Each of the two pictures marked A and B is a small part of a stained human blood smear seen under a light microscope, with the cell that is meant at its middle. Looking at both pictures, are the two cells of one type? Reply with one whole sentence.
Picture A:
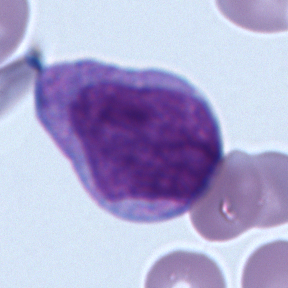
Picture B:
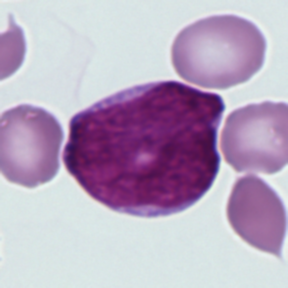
No. Picture A shows an atypical promyelocyte, but picture B shows a myeloblast.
